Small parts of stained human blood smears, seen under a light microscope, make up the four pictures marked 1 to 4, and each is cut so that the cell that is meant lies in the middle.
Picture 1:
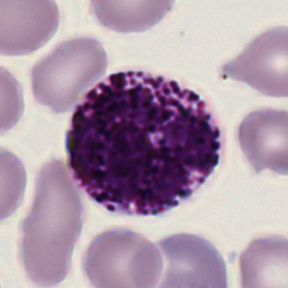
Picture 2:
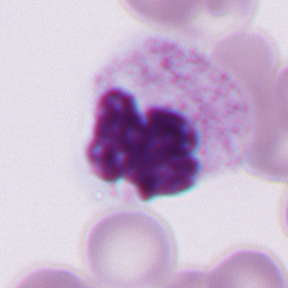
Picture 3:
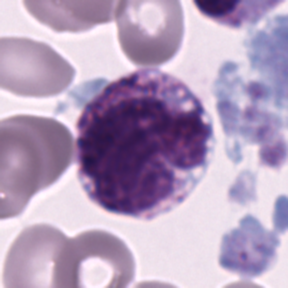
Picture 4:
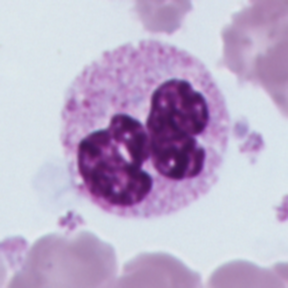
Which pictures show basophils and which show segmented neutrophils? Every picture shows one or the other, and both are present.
1: basophil
2: segmented neutrophil
3: basophil
4: segmented neutrophil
